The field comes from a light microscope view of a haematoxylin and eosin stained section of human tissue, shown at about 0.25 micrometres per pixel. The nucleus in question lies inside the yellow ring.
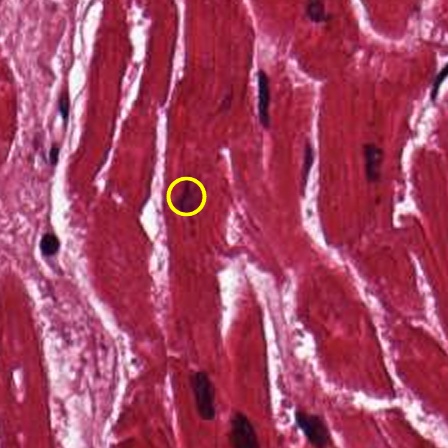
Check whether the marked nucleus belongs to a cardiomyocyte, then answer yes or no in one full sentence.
Yes, the marked nucleus is held by a cardiomyocyte.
